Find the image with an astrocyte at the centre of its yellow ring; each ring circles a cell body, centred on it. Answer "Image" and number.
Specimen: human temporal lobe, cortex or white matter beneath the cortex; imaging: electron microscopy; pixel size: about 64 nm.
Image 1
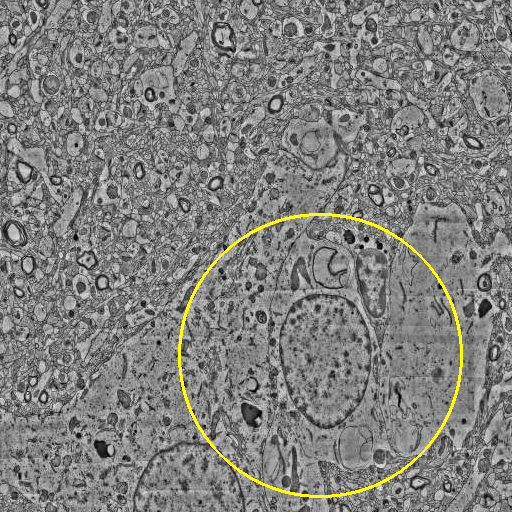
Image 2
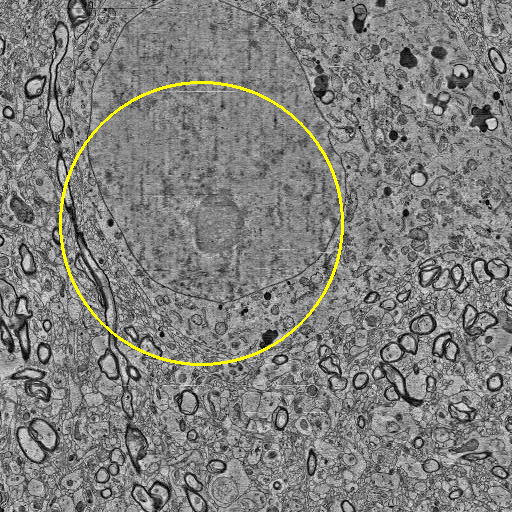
Image 1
